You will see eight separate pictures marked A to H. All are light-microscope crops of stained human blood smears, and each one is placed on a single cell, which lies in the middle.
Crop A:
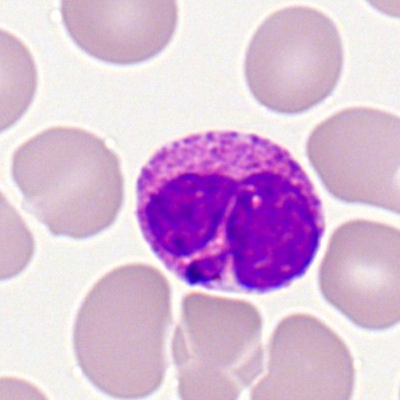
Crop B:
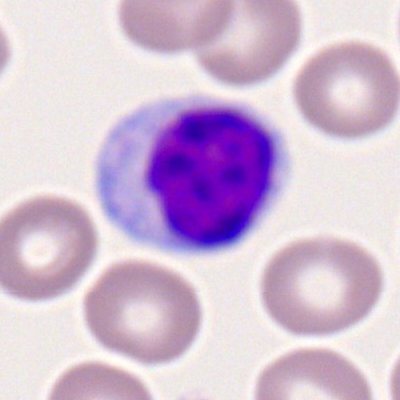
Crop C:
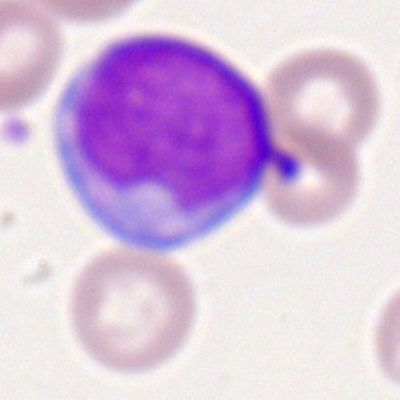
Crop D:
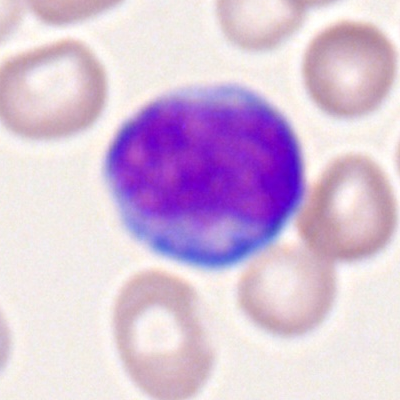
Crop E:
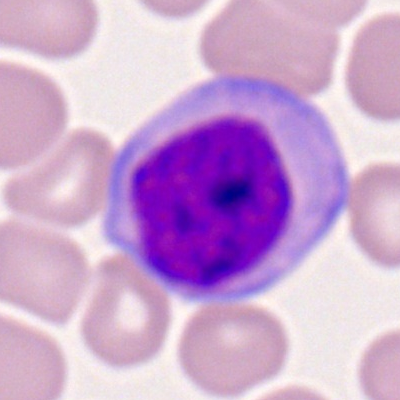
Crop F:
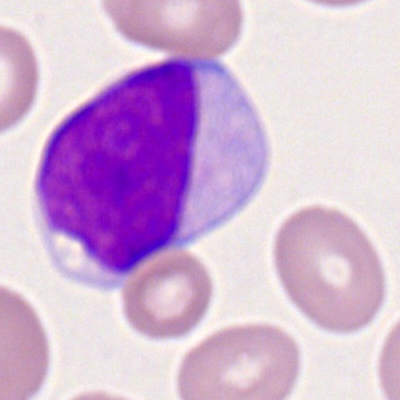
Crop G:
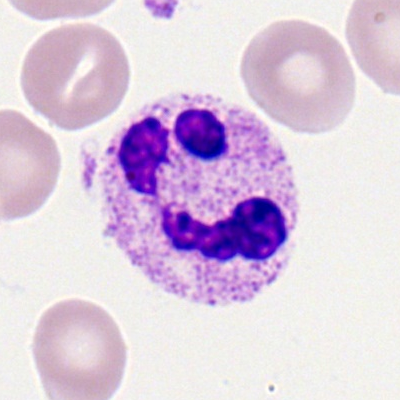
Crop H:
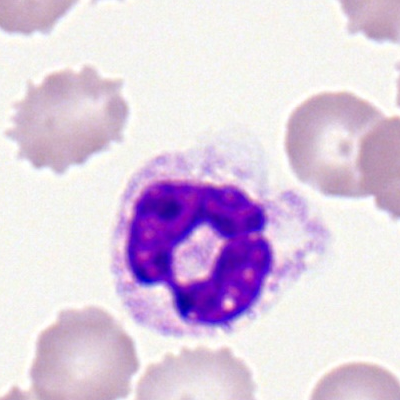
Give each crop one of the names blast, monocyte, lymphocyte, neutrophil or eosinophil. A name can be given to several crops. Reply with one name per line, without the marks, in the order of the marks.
eosinophil
lymphocyte
blast
blast
blast
blast
neutrophil
neutrophil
